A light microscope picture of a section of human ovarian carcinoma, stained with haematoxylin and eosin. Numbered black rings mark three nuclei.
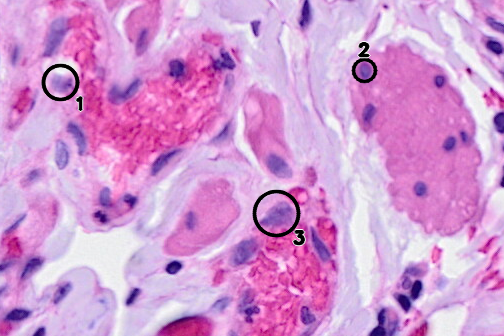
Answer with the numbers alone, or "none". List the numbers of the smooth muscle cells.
2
